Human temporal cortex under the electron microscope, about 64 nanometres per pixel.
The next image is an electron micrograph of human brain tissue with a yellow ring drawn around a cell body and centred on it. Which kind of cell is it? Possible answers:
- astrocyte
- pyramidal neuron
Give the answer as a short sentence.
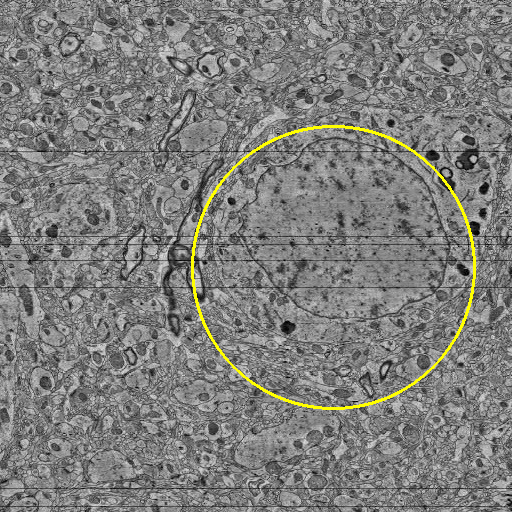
In the ring's centre is a pyramidal neuron.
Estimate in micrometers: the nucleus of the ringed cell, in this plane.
The nucleus is approximately 13 micrometers across in this plane.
